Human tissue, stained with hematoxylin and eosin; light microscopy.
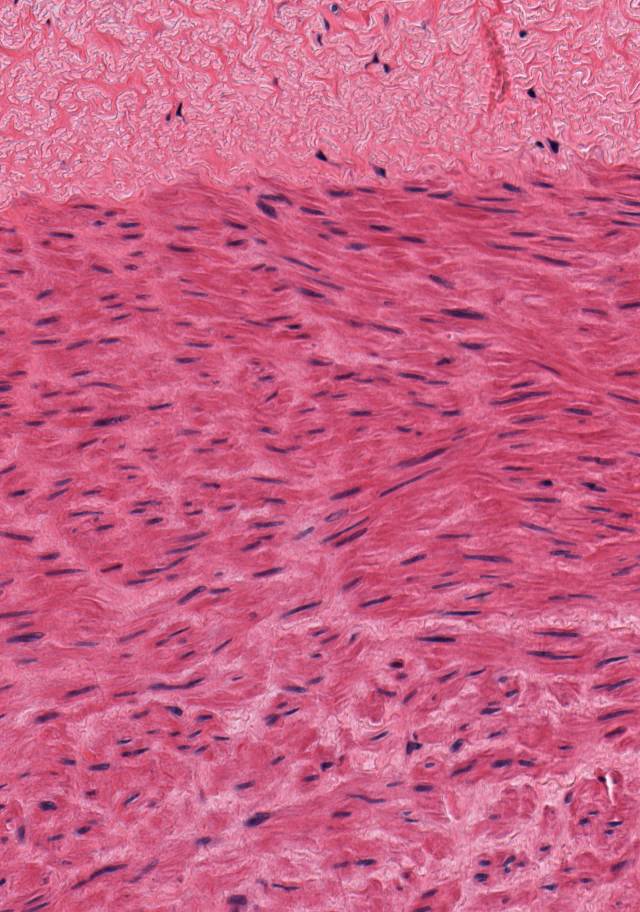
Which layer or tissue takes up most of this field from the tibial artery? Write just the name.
tunica media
